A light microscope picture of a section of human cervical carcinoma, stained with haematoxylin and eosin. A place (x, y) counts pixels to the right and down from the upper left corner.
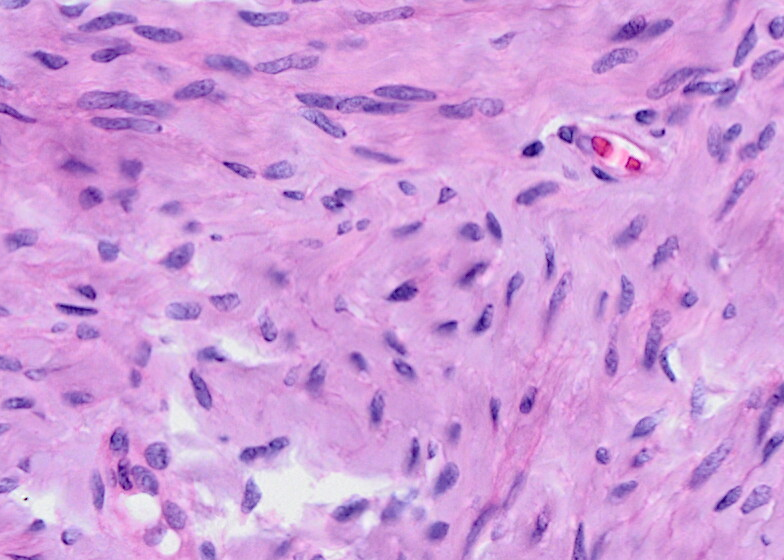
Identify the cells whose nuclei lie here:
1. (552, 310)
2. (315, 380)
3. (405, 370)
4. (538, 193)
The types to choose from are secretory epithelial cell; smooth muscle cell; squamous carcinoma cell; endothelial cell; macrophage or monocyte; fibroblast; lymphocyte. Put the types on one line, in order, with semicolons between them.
smooth muscle cell; fibroblast; fibroblast; fibroblast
